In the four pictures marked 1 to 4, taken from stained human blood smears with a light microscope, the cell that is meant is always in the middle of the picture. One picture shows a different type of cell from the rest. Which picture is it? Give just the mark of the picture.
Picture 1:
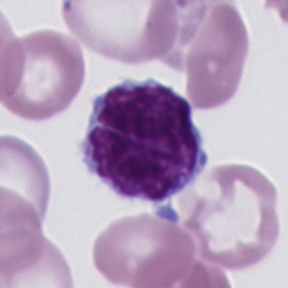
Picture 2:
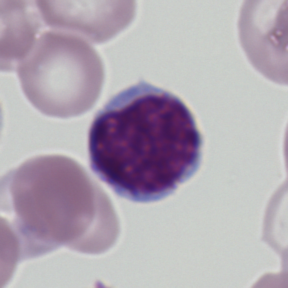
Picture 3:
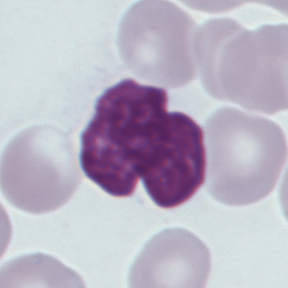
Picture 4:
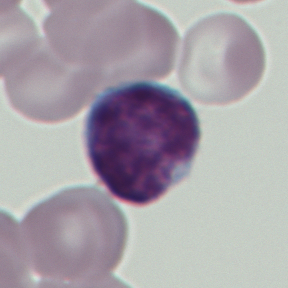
3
